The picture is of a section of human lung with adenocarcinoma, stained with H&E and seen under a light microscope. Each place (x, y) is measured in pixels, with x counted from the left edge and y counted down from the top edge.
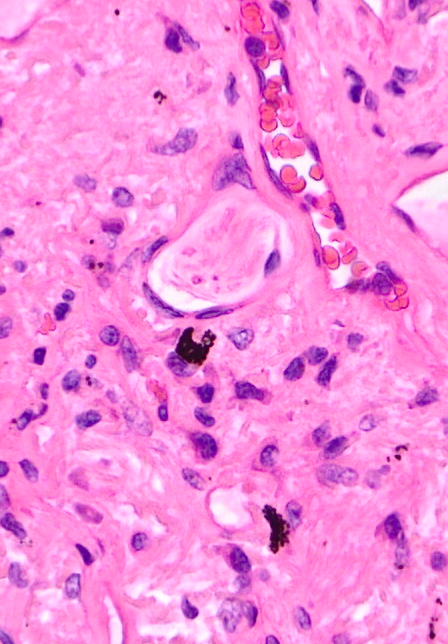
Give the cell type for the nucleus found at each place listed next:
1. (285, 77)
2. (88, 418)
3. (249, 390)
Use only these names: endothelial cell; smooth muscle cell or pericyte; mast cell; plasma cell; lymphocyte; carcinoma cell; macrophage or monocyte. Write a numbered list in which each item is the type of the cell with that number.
1. endothelial cell
2. lymphocyte
3. plasma cell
